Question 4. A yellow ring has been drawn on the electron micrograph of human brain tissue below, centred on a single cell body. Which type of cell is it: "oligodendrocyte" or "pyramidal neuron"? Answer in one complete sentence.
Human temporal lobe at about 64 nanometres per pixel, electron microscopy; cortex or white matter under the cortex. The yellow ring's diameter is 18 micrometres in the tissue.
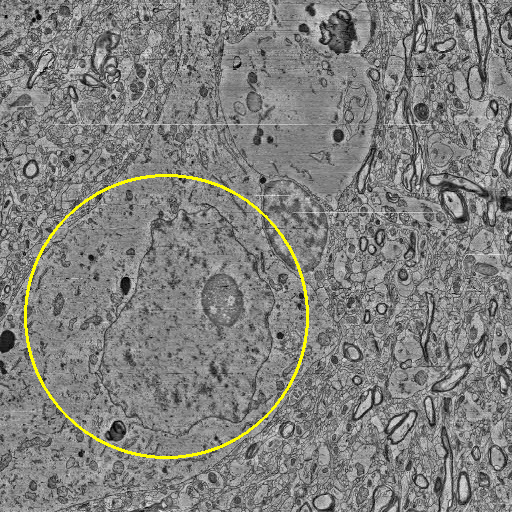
This cell body belongs to a pyramidal neuron.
